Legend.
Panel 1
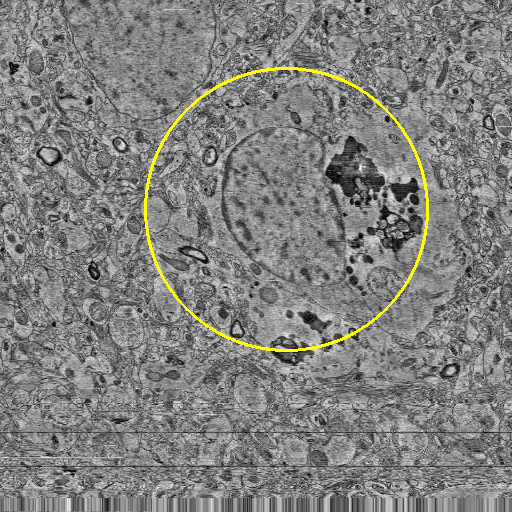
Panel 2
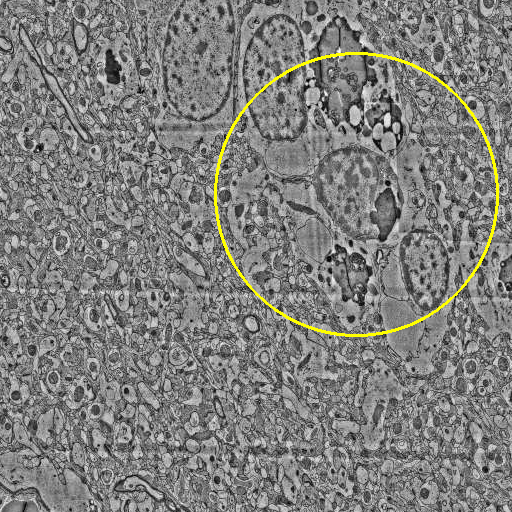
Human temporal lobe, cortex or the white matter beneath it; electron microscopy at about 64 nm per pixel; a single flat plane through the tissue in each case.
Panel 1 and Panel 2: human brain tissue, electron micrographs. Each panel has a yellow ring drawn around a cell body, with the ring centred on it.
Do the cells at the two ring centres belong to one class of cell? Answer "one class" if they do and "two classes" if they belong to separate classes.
two classes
